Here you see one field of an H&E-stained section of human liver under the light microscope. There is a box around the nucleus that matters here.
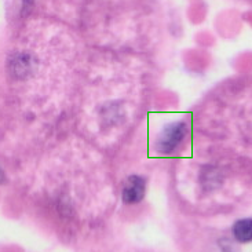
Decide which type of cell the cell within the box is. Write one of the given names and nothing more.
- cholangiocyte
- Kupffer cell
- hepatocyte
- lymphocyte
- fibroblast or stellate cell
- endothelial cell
endothelial cell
